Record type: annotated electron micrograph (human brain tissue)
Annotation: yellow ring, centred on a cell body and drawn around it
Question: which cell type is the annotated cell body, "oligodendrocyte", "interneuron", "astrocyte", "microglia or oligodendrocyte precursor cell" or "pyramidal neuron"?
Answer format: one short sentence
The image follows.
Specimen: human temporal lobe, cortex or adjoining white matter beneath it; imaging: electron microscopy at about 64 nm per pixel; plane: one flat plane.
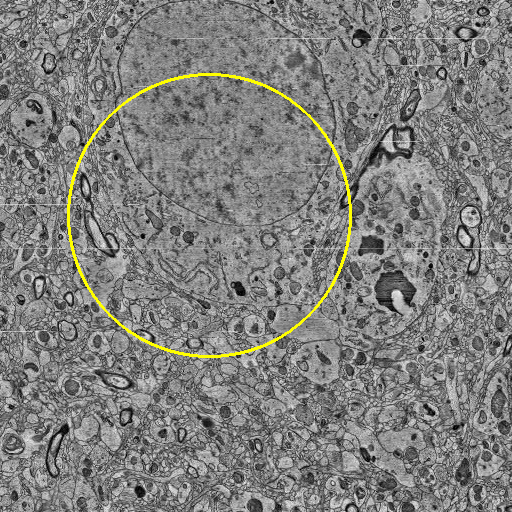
The annotated cell body is that of a pyramidal neuron.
